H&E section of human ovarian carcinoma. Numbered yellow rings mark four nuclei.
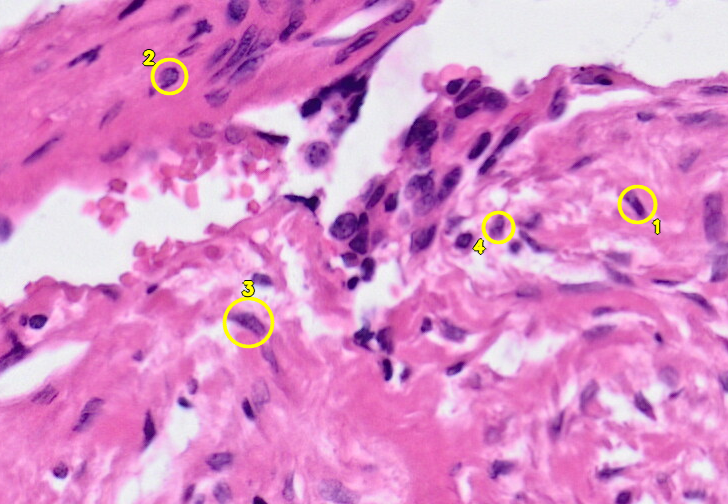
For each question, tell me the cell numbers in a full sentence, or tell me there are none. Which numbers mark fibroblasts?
Cells 1, 3 and 4 are recognised here as fibroblasts.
